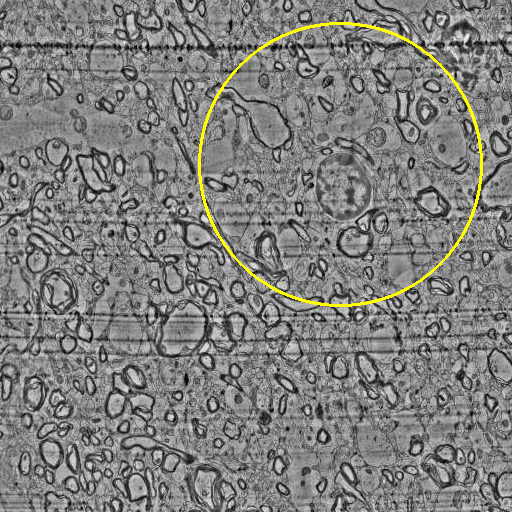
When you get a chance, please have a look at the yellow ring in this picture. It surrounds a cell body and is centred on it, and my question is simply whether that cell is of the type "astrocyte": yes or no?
No, the cell is of another type.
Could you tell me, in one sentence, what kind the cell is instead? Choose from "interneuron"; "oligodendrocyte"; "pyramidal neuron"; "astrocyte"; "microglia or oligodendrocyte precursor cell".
Instead, the ring in this picture marks a microglial cell or oligodendrocyte precursor cell.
